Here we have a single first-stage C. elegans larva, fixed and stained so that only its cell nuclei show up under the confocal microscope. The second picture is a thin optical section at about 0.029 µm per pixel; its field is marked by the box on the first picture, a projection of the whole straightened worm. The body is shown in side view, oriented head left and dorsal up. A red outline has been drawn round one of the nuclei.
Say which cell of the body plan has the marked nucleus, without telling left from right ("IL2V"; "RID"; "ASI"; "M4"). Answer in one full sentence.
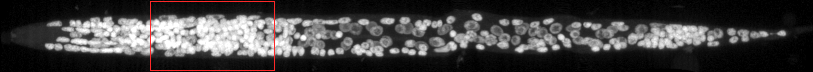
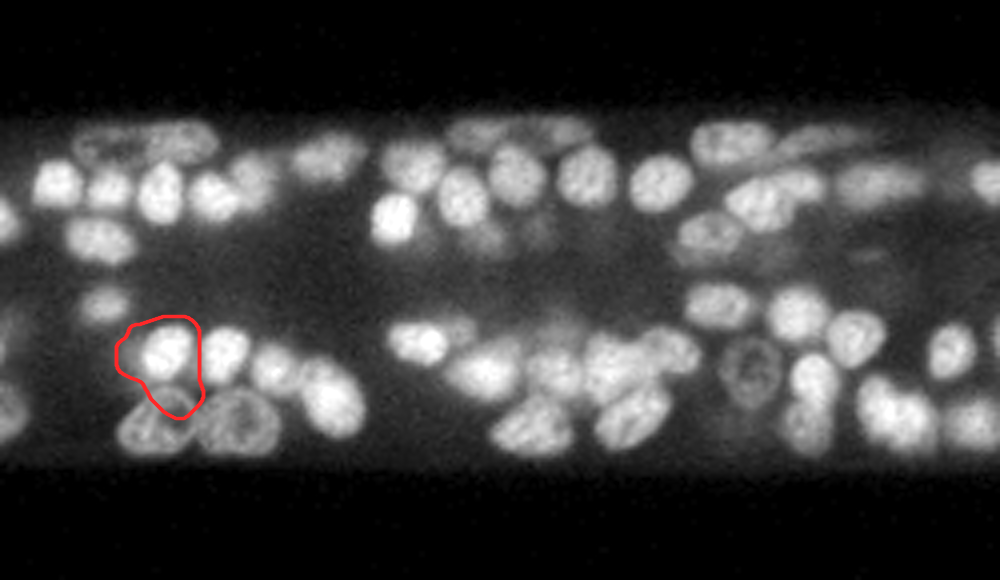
This is the nucleus of IL2V, a neuron.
